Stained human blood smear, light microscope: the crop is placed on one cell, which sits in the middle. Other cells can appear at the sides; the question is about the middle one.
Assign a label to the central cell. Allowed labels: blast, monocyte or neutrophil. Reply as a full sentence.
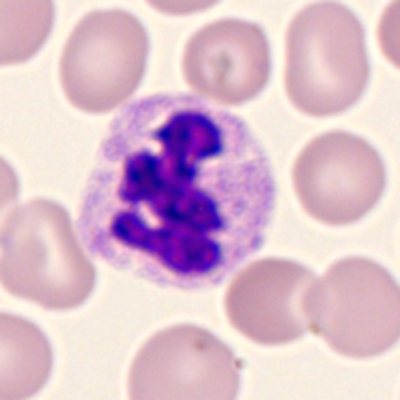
In the center of this field lies a neutrophil.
